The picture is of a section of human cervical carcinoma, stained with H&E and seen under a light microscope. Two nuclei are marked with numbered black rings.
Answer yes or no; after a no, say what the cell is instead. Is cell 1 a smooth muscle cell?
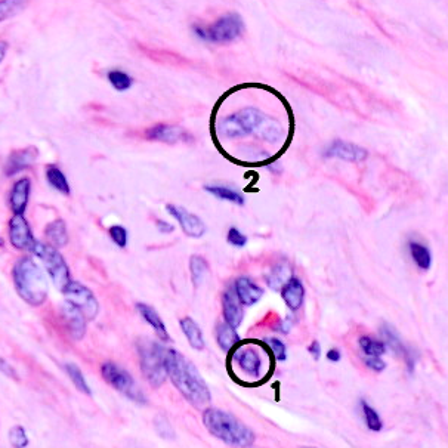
No, it is an endothelial cell.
